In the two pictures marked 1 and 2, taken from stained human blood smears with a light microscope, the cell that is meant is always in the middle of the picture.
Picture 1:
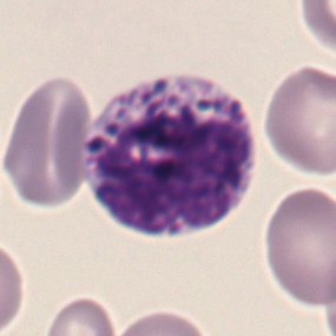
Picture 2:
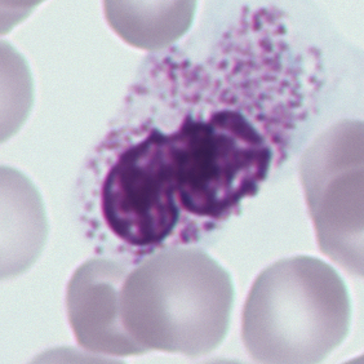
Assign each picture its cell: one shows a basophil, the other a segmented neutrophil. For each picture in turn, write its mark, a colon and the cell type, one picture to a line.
1: basophil
2: segmented neutrophil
